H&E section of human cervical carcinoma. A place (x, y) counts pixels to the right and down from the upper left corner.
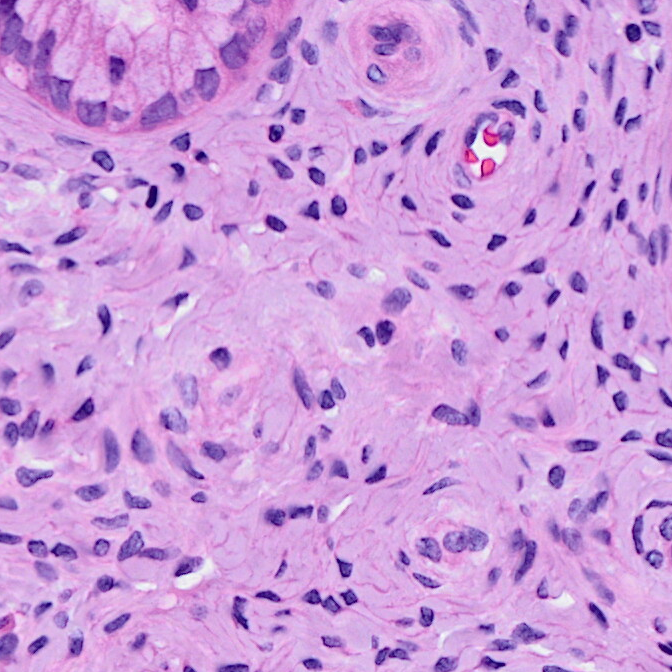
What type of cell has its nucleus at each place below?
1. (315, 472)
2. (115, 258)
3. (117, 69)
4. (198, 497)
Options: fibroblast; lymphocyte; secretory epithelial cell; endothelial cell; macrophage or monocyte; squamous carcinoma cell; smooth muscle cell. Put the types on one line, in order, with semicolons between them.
fibroblast; fibroblast; secretory epithelial cell; fibroblast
